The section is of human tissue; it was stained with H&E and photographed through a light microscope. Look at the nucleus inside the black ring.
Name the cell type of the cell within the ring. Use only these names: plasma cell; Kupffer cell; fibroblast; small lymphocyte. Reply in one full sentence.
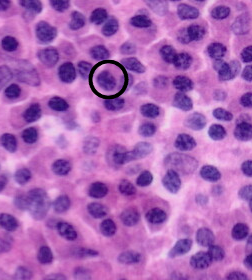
In cellular terms, the cell within the ring is a plasma cell.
